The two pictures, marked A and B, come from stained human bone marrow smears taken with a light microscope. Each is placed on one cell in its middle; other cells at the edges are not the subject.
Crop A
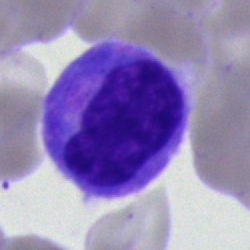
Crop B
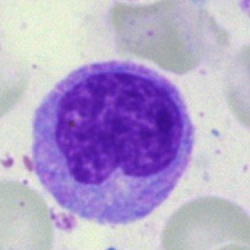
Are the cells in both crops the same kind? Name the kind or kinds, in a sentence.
Yes, the cells in both crops are monocytes.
